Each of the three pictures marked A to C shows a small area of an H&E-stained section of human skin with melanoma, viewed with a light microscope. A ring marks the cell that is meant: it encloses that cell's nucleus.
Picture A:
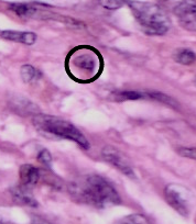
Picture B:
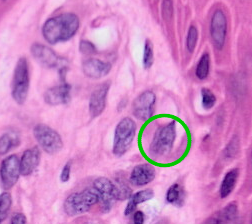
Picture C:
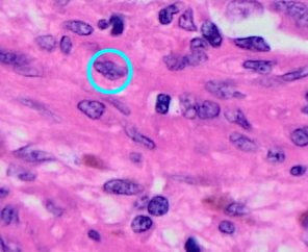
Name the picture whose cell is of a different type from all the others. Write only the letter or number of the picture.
B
